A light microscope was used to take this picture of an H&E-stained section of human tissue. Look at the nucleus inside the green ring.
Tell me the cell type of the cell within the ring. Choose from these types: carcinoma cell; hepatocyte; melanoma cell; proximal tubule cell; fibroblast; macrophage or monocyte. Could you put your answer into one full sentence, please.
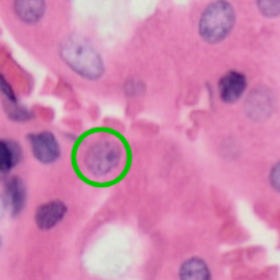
Just put down that the cell within the ring is a proximal tubule cell.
